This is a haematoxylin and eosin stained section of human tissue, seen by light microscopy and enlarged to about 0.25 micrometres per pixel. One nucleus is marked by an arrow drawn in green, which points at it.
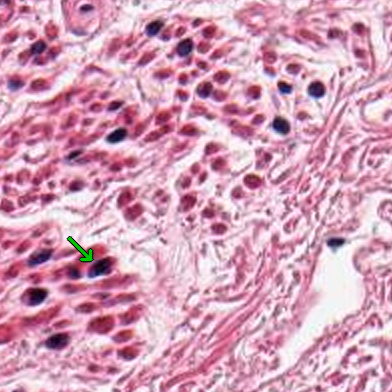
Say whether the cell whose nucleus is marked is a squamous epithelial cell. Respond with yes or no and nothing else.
no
